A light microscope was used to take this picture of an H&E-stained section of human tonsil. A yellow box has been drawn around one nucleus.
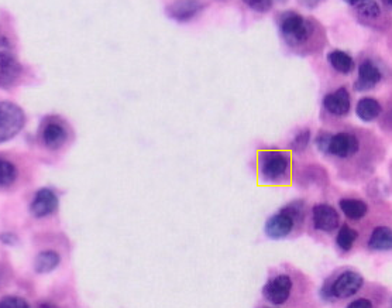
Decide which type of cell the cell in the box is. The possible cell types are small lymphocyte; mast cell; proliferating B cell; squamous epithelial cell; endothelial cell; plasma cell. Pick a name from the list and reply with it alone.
plasma cell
